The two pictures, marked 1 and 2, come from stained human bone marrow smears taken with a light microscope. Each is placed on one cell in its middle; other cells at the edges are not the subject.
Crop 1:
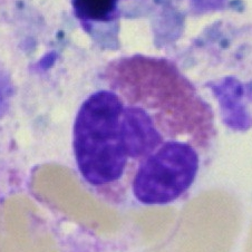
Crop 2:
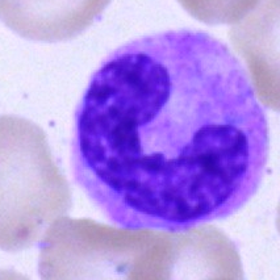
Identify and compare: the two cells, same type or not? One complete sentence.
No, a band neutrophil is depicted in crop 2, whereas an eosinophil is depicted in crop 1.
